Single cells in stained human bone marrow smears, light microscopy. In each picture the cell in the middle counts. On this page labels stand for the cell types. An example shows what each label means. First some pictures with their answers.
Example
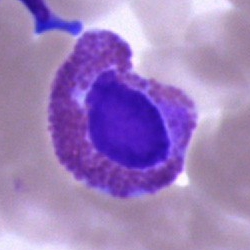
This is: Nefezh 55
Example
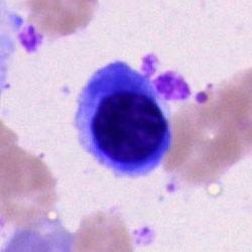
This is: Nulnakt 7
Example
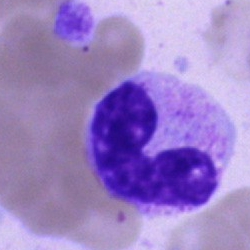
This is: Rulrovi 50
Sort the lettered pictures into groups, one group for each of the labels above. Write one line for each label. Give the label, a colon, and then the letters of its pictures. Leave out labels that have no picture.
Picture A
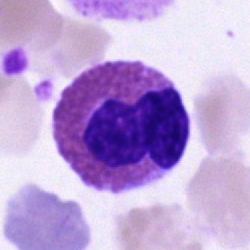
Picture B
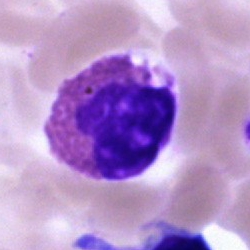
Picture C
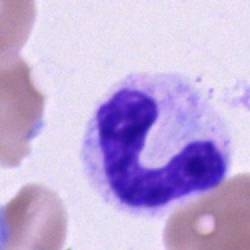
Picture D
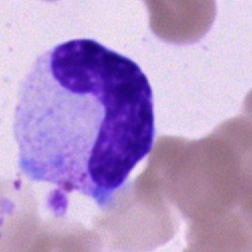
Nefezh 55: A, B
Rulrovi 50: C, D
